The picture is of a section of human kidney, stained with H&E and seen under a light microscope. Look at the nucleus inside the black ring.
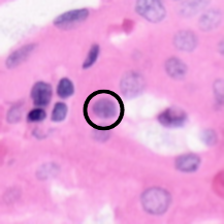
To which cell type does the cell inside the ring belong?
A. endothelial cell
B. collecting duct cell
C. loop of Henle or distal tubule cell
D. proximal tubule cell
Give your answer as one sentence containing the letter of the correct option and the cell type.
Option C is correct in that the cell inside the ring is a loop of Henle or distal tubule cell.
